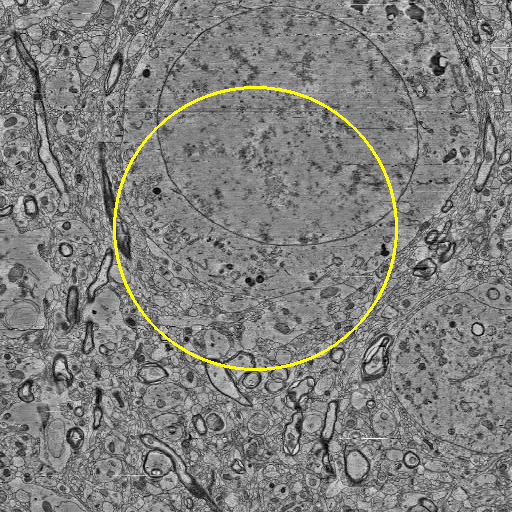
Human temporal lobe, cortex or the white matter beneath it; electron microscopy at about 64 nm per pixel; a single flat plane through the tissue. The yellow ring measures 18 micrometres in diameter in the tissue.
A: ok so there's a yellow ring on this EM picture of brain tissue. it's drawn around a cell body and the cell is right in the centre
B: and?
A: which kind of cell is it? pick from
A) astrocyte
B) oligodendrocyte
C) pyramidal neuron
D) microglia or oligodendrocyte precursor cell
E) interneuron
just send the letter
C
